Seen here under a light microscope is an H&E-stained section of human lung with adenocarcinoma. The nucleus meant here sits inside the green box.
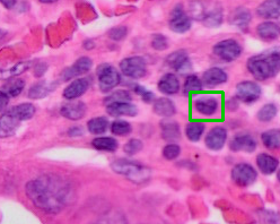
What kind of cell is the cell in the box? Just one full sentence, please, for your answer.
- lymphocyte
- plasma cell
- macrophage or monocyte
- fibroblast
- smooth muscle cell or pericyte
With respect to cell type, the cell in the box is a lymphocyte.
